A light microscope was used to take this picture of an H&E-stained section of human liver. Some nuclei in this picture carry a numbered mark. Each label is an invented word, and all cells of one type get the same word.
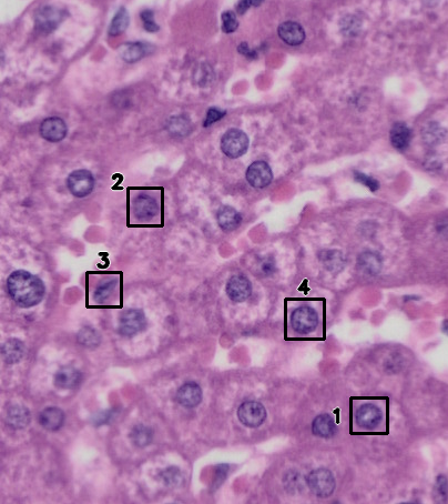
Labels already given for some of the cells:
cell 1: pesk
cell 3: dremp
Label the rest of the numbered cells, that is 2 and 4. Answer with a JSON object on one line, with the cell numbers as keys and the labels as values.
{"2": "pesk", "4": "pesk"}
